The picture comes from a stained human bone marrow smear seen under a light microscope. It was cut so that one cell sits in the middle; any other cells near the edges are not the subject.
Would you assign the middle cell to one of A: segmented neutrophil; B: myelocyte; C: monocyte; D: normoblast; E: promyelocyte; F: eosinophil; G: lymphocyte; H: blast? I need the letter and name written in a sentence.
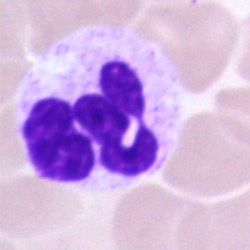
It is a segmented neutrophil that occupies the centre of the crop, so option A is correct.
